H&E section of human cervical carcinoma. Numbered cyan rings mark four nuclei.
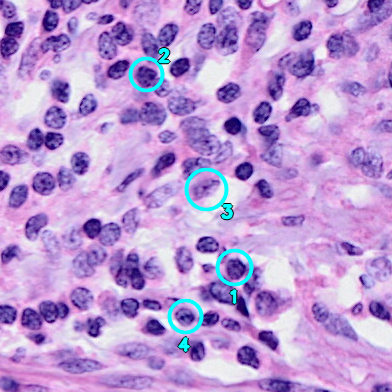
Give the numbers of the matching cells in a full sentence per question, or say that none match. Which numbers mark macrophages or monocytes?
There is only one numbered cell that is a macrophage or monocyte, and it is cell 3.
